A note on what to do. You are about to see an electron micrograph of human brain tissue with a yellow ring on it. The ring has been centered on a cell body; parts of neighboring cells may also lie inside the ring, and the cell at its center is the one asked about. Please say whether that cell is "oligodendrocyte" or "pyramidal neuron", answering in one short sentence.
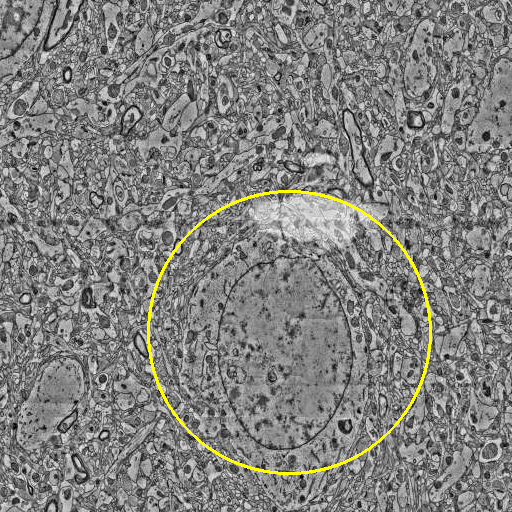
The yellow ring sits on a pyramidal neuron.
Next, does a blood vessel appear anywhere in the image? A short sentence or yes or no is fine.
No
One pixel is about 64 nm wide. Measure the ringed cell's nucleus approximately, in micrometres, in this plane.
Roughly 12 by 9 micrometres in this plane, for the nucleus of the ringed cell.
